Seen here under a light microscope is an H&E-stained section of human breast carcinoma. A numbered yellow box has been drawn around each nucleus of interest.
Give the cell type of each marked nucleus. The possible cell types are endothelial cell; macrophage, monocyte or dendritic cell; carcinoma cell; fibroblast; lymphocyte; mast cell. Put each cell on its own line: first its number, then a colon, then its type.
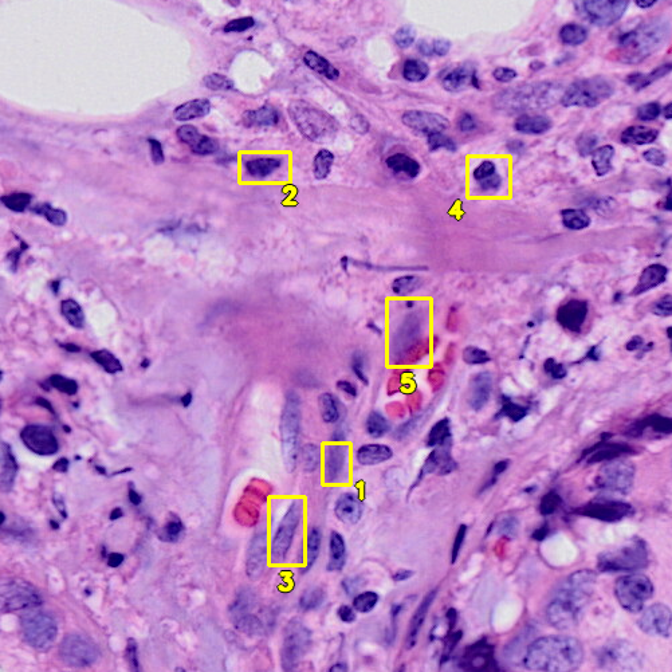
1: endothelial cell
2: lymphocyte
3: endothelial cell
4: lymphocyte
5: endothelial cell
